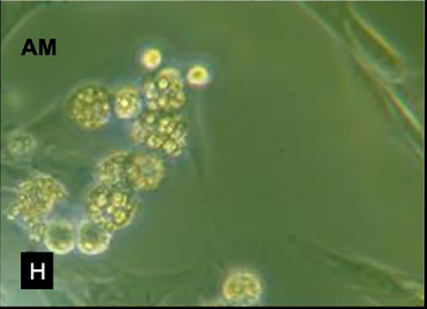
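The cells have become rounded and lie in a small cluster. Their cytoplasm is filled with many small, round, refractile globules, which are lipid droplets and give the cells a yellowish, bubbly appearance. The droplets are numerous and crowd the whole cell body. A few elongated cells can be seen in the background beside the rounded ones.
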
